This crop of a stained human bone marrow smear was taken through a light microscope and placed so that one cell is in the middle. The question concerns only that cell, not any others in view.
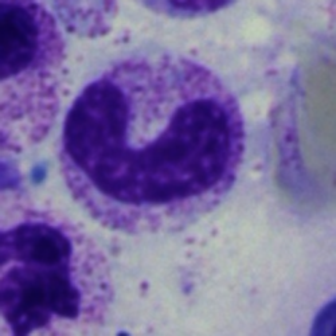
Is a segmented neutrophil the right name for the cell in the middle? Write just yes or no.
no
